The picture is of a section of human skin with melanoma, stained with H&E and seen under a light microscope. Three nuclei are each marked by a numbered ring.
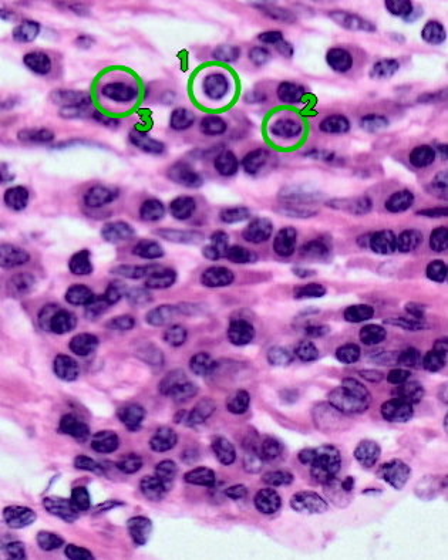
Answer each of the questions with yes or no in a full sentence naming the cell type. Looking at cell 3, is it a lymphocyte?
No, what number 3 shows is a plasma cell, not a lymphocyte.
